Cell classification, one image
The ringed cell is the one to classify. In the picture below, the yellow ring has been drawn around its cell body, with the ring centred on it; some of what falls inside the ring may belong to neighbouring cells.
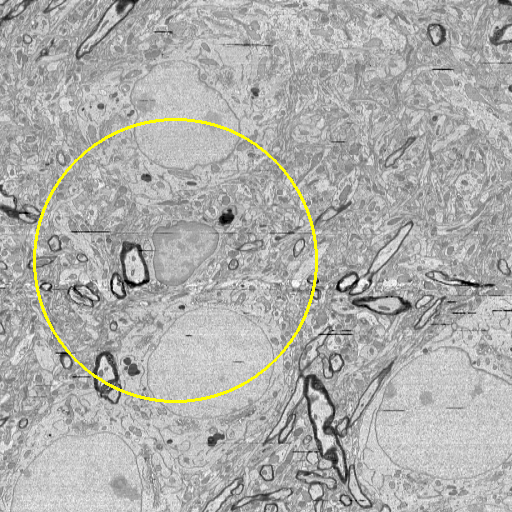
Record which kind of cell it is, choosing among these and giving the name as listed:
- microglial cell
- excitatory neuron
microglial cell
